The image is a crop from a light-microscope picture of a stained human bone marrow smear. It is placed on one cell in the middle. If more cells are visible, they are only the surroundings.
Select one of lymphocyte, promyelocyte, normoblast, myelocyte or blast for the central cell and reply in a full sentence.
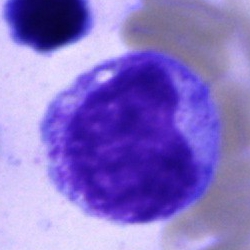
Whatever else lies nearby, the middle cell is a promyelocyte.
